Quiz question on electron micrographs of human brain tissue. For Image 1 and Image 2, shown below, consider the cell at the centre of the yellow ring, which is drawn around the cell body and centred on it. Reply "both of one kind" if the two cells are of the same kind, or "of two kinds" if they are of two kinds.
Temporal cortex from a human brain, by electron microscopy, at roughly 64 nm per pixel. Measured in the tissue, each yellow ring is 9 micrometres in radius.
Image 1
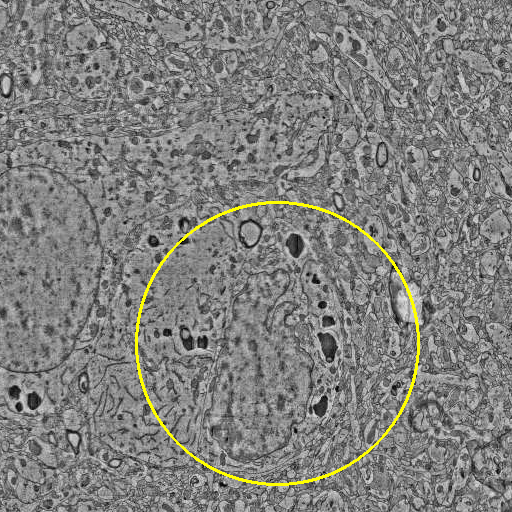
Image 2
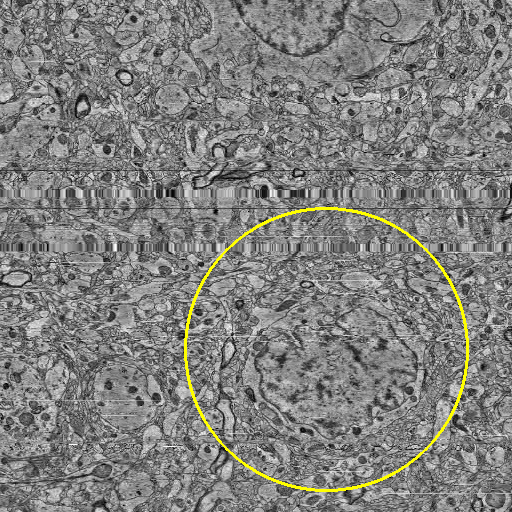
both of one kind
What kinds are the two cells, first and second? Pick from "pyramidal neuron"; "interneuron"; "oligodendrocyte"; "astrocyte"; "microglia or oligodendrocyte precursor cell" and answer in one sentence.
Each of the two rings surrounds an interneuron.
